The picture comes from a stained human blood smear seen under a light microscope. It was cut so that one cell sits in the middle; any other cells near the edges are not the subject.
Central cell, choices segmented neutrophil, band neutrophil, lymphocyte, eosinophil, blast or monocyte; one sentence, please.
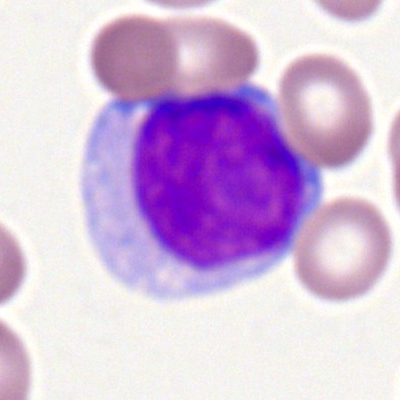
The cell nearest the centre of this crop is a blast.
